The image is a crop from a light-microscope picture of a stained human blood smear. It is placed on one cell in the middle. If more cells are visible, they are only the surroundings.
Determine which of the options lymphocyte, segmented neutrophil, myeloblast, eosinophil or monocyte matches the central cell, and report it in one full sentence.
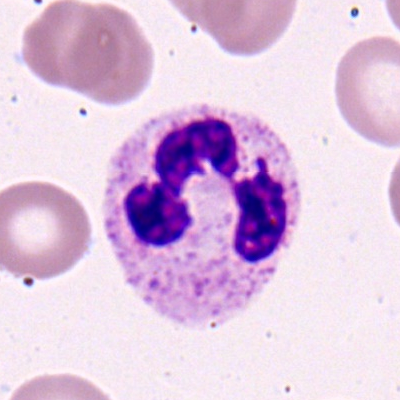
Framed in the middle of the crop is a segmented neutrophil.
